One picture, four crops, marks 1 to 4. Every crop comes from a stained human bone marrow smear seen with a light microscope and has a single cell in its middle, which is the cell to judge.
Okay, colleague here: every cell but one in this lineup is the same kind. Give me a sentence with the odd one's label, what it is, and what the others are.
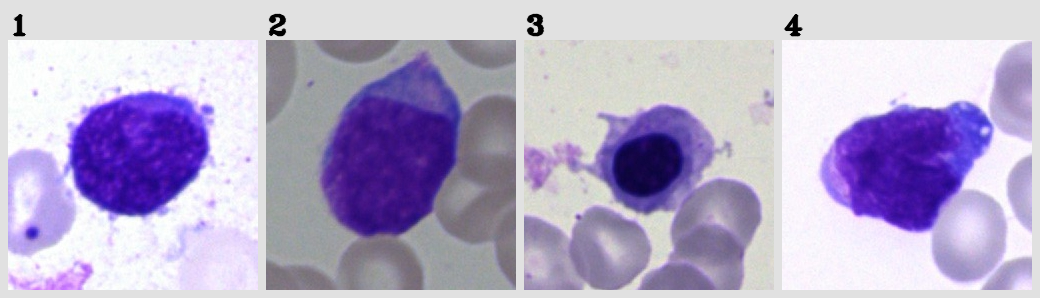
As the exception to the blasts in the other crops, crop 3 shows an erythroblast.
